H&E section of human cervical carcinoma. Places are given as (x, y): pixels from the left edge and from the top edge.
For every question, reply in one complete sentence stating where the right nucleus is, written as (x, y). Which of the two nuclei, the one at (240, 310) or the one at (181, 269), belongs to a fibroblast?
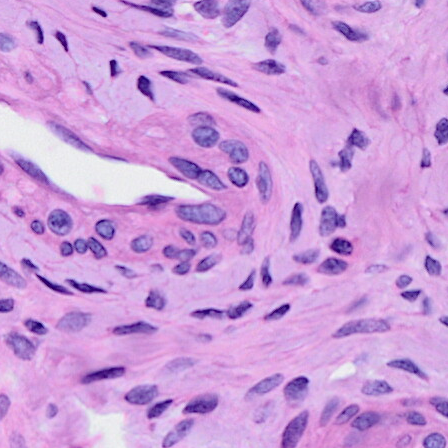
Of the two options, the nucleus at (240, 310) is the one that belongs to a fibroblast.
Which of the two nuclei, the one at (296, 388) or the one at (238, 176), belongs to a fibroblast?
Of these two nuclei, it is the one at (296, 388) that belongs to a fibroblast.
